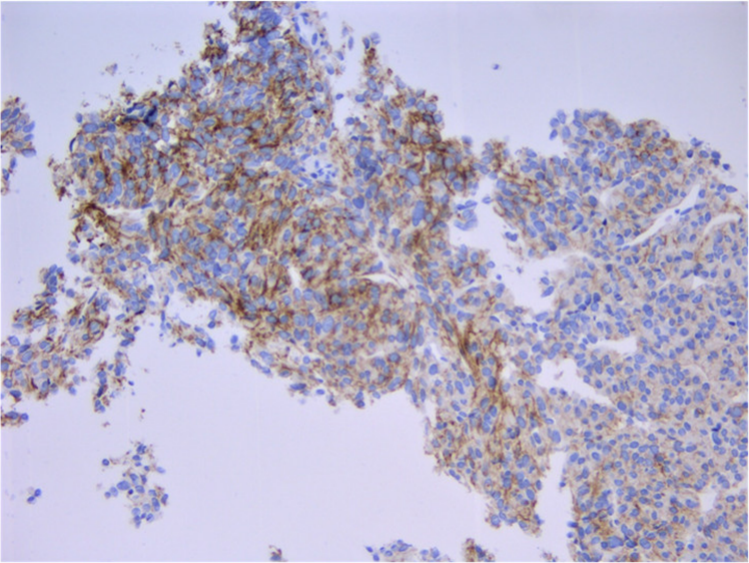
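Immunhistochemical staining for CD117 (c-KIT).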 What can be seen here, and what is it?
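This is a fragmented tissue sample made of sheets of closely packed tumor cells. Many of the cells show a brown reaction in their cytoplasm and along their membranes. The stain is strongest and most continuous in the left and central part of the fragment, while the right part is paler. Small detached clusters of cells lie at the edges of the sample.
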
